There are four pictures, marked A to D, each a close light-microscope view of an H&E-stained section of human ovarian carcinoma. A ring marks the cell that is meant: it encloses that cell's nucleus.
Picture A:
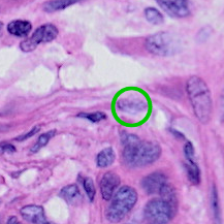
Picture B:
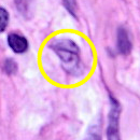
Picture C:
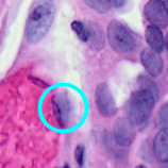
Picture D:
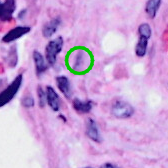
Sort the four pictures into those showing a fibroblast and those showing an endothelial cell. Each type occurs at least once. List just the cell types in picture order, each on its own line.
fibroblast
fibroblast
endothelial cell
fibroblast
